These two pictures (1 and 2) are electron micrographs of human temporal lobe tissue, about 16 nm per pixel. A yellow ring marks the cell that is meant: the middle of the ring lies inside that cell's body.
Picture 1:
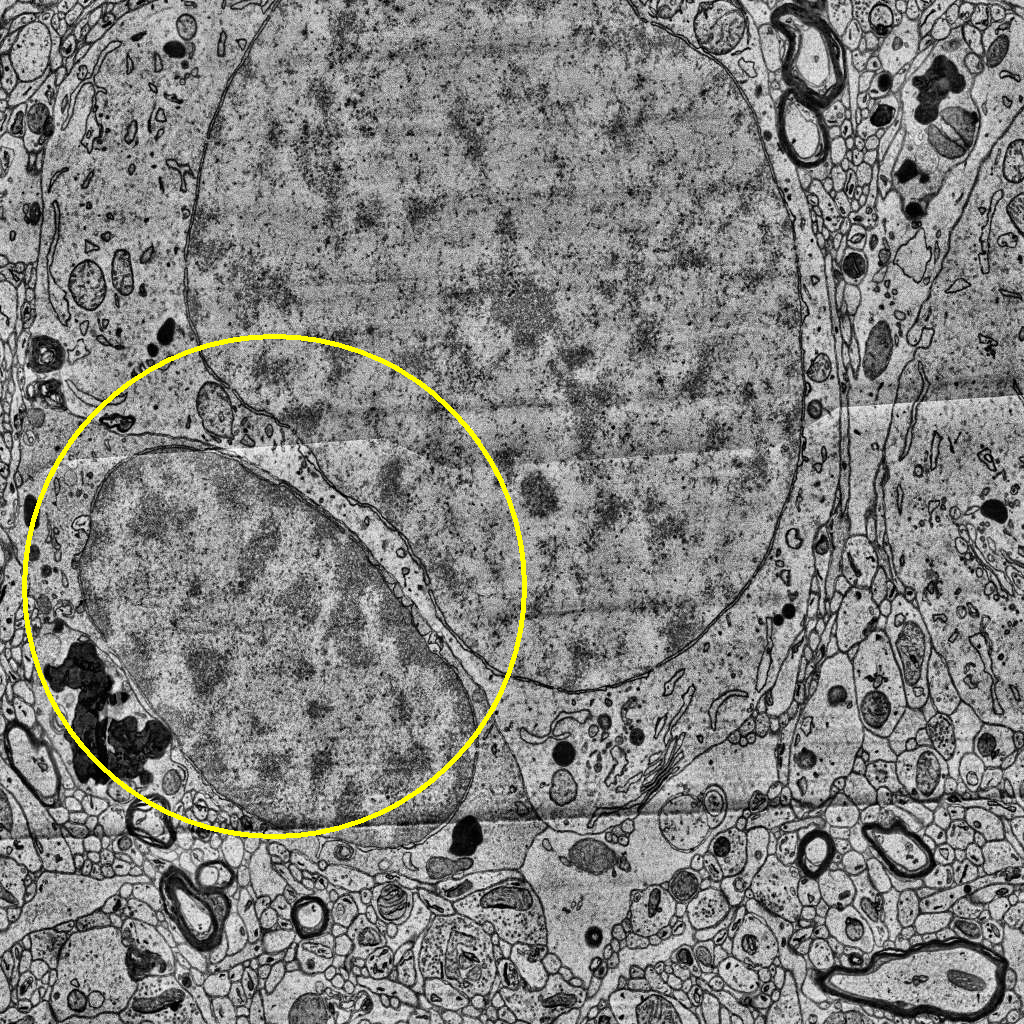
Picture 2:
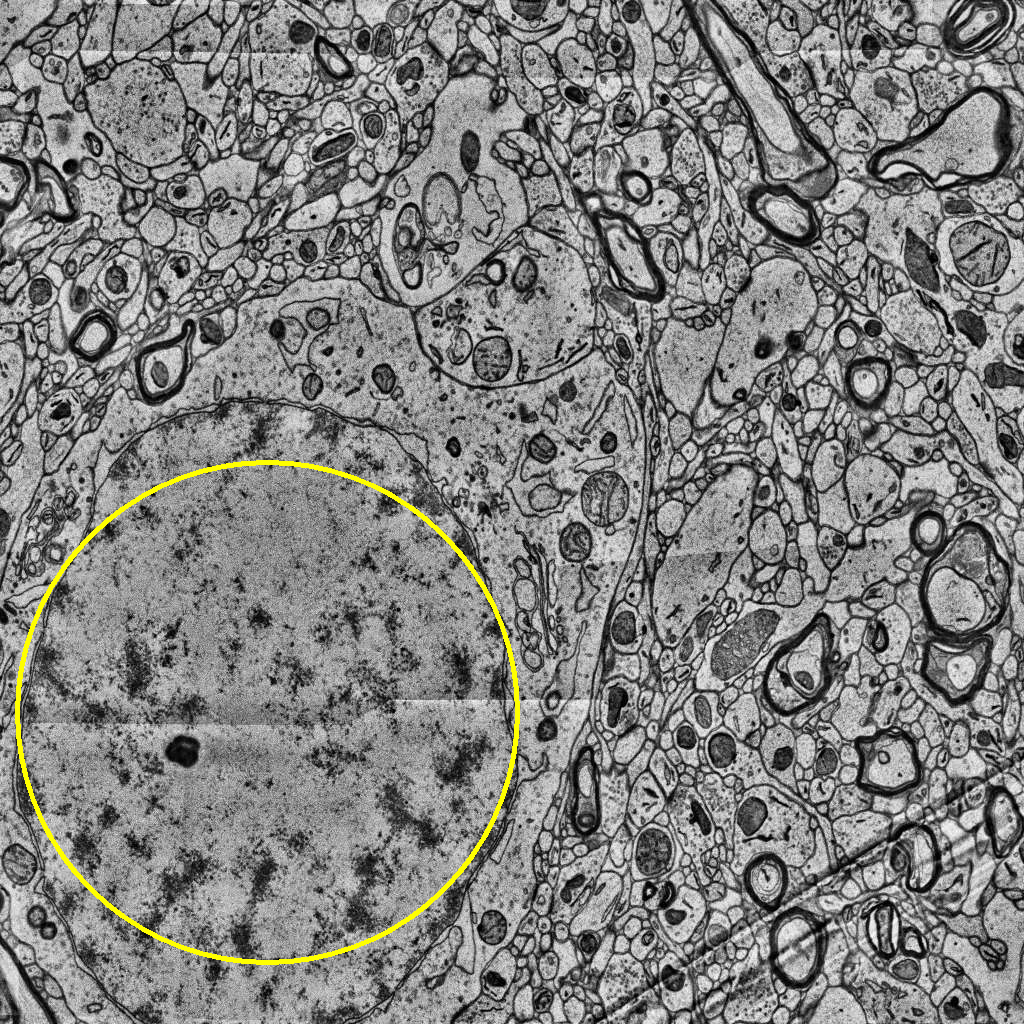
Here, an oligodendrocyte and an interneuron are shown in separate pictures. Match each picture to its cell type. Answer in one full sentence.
Picture 2 shows an interneuron, while picture 1 shows an oligodendrocyte.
